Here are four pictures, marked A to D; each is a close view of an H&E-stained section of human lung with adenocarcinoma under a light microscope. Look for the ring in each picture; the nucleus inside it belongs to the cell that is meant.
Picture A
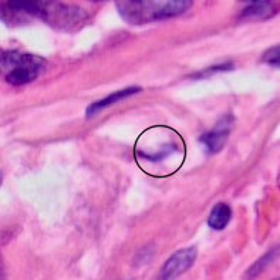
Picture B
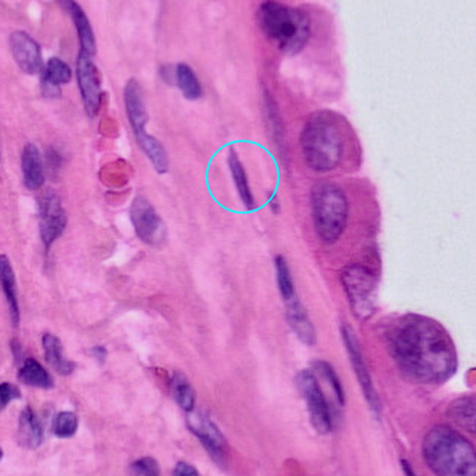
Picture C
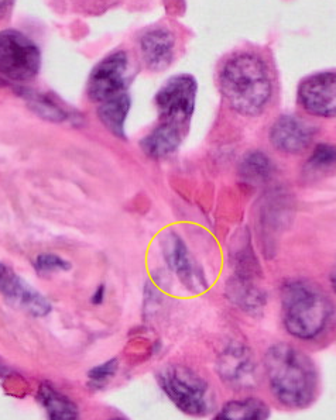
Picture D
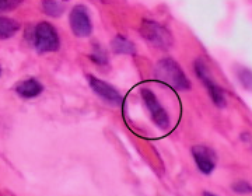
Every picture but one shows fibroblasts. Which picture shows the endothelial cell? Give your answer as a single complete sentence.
Picture D shows the endothelial cell.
